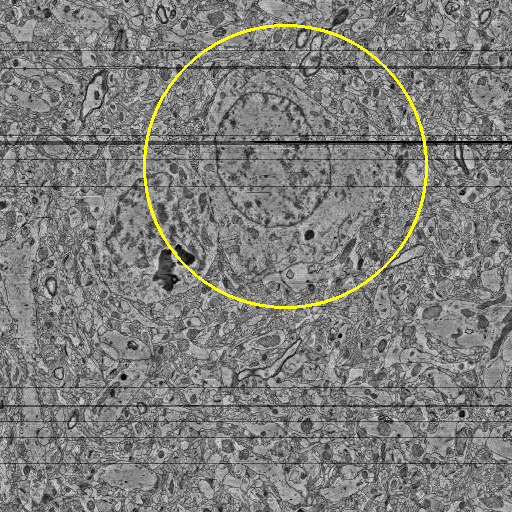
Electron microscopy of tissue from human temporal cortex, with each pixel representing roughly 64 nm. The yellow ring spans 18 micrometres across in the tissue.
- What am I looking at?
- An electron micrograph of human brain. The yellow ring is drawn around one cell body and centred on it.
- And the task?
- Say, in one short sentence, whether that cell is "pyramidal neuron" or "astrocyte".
The cell in the middle of the ring is a pyramidal neuron.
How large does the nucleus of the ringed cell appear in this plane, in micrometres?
The nucleus of the ringed cell is approximately 9 by 7 micrometres in this plane.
